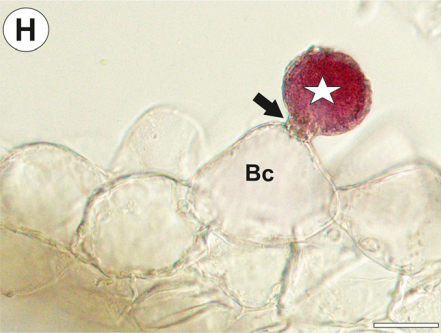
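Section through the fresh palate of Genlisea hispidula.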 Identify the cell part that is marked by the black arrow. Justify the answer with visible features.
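Pedestal cell. The arrow points to a narrow cell between the large bulging cell below and the red spherical head.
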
